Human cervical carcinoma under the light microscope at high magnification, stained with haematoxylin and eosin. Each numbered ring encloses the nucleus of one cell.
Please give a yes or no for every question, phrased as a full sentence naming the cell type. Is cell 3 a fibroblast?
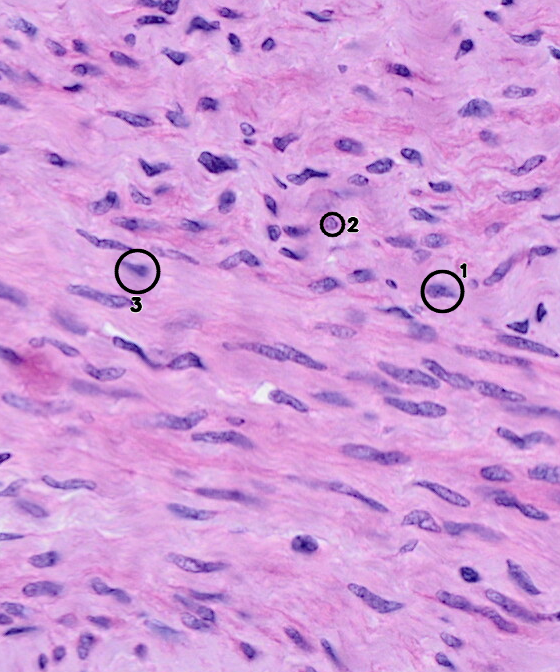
Yes, of the numbered cells, number 3 is a fibroblast.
